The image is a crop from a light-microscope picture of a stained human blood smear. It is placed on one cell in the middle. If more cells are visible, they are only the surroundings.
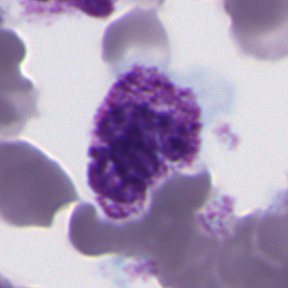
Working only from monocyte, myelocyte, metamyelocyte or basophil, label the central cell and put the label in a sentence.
The identification for the central cell is a basophil.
